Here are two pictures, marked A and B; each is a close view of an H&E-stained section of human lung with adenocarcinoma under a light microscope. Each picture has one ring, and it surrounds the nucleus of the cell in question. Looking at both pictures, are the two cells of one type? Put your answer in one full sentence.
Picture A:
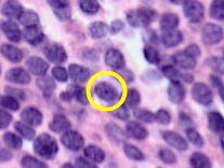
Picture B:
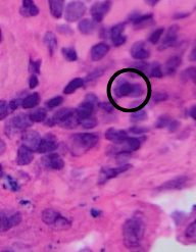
Yes; the cells in both pictures are lymphocytes.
